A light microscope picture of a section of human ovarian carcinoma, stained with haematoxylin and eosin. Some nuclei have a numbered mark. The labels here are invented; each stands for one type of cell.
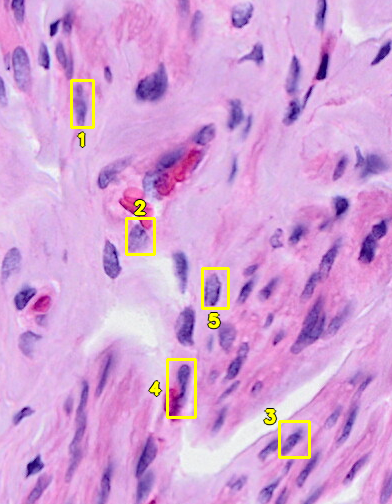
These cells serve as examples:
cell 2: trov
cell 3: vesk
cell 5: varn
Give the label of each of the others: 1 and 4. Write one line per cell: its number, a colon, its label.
1: vesk
4: trov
